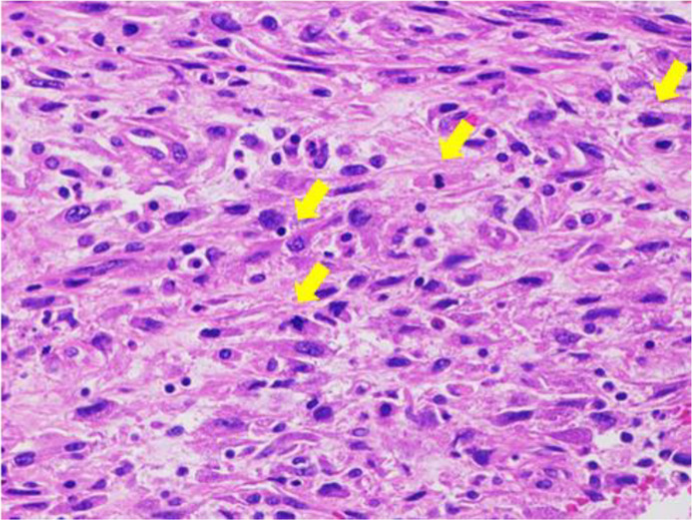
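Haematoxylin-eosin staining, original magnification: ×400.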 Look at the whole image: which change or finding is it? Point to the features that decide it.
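Nuclei vary markedly in size and shape. Many nuclei are enlarged and darkly stained. Some cells are large and pleomorphic with abundant pink cytoplasm.
Hence: distinct cytological atypia.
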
